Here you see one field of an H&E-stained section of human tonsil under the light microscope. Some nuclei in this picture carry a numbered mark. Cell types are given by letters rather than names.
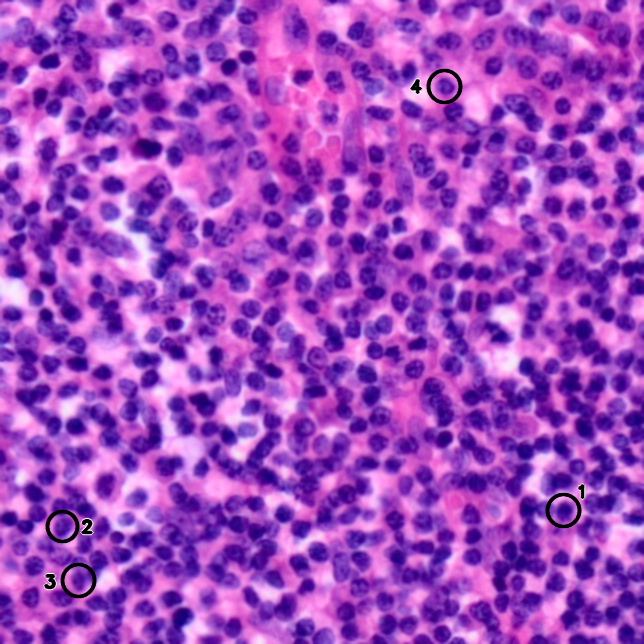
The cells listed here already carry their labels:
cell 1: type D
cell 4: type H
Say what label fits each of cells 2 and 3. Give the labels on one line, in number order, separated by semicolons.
type D; type D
